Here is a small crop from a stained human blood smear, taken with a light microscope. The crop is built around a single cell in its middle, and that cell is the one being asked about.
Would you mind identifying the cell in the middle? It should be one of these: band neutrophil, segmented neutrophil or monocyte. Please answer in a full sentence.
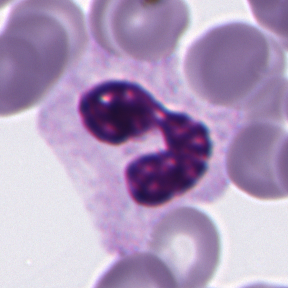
Present in the middle of the crop is a segmented neutrophil.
